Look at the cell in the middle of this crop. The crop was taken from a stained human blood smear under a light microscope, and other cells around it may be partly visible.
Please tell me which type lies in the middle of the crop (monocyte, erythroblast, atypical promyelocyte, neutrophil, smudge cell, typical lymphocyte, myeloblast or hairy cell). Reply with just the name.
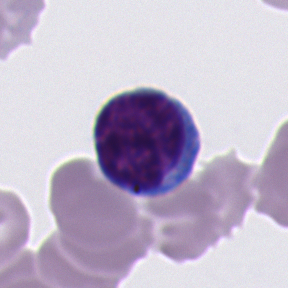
typical lymphocyte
